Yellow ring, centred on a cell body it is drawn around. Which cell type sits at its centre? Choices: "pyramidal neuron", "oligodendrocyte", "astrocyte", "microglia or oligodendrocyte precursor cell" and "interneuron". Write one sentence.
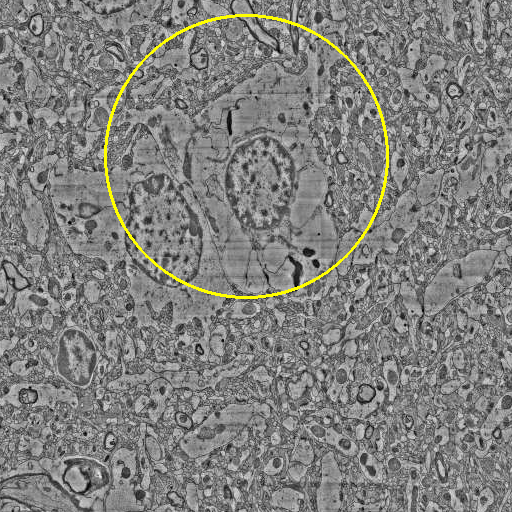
At the centre of the ring sits an astrocyte.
